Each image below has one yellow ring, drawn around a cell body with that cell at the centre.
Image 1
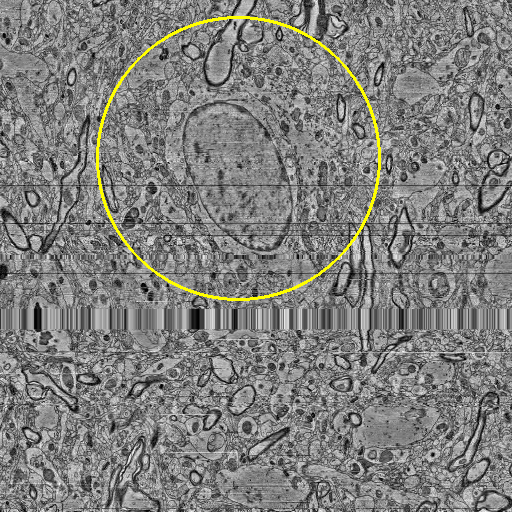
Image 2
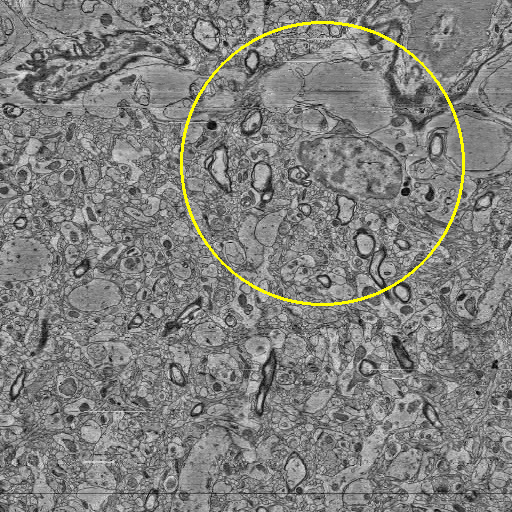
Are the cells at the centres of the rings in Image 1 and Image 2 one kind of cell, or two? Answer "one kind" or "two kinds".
two kinds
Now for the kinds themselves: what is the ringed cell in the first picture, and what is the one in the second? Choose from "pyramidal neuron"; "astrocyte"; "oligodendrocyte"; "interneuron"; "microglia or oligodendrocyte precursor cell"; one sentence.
Here the first cell is a microglial cell or oligodendrocyte precursor cell and the second cell is an oligodendrocyte.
